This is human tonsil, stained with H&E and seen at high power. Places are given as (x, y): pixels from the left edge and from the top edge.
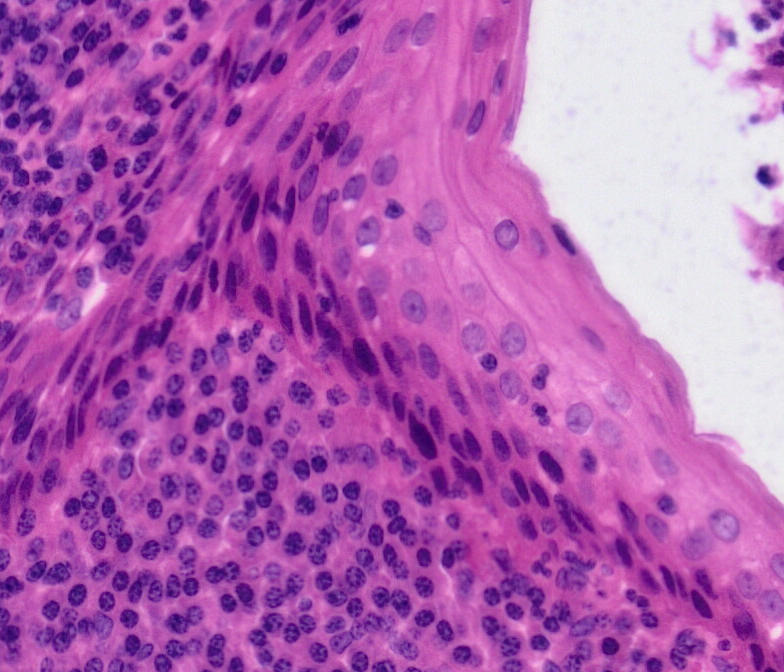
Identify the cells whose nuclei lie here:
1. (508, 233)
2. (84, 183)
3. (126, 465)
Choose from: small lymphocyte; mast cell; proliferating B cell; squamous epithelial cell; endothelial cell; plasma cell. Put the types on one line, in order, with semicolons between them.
squamous epithelial cell; plasma cell; plasma cell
